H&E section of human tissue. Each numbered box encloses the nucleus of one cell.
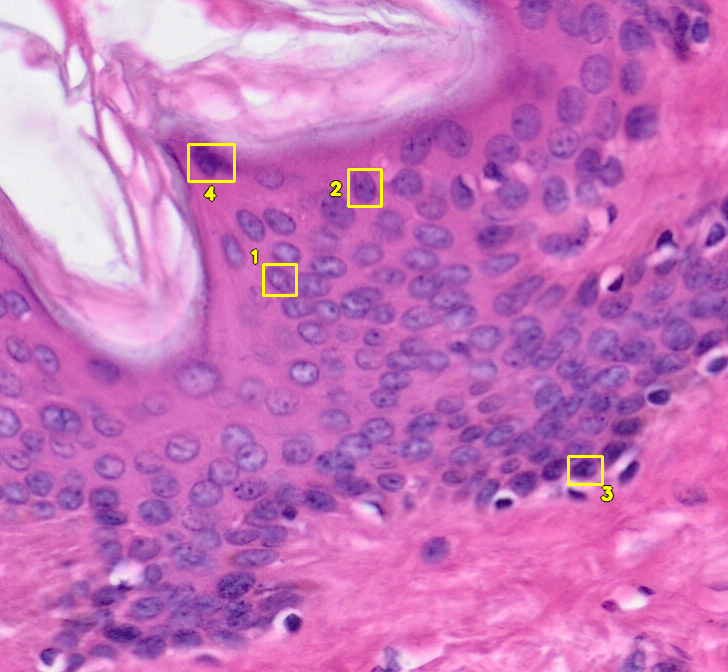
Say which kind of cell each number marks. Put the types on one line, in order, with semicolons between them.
suprabasal keratinocyte; suprabasal keratinocyte; basal keratinocyte; suprabasal keratinocyte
